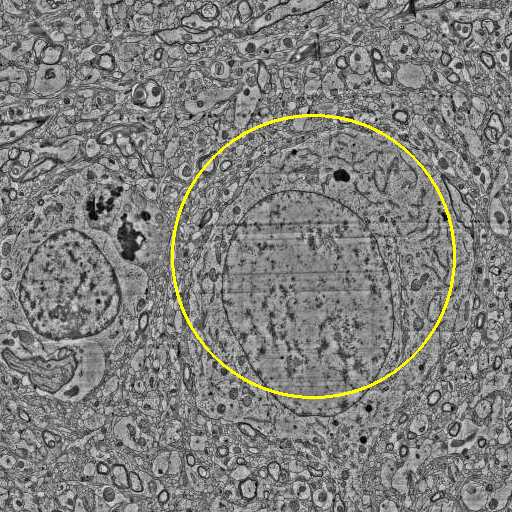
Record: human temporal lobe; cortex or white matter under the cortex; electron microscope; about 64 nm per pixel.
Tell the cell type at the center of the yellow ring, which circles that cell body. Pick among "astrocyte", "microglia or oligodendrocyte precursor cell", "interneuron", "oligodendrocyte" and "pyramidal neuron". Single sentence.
The ring is centered on the body of a pyramidal neuron.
